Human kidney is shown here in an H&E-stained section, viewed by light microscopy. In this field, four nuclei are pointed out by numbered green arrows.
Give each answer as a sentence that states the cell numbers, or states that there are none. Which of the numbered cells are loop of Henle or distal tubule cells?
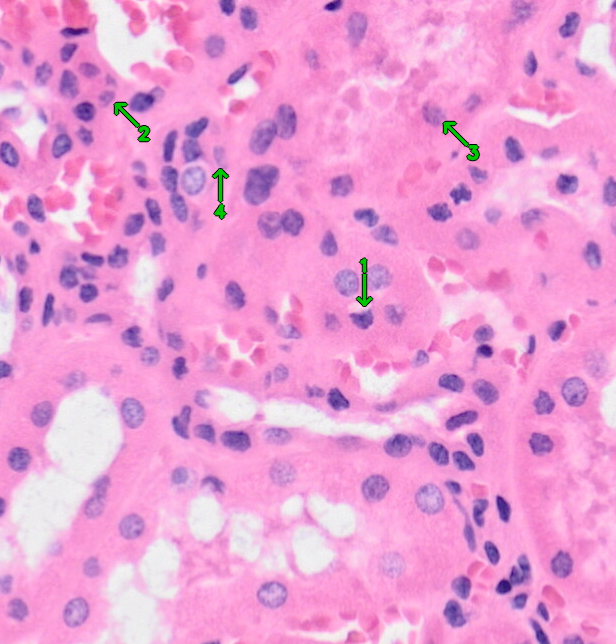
Among the numbered cells, cell 1 alone is a loop of Henle or distal tubule cell.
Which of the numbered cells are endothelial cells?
The numbered cells include no endothelial cells at all.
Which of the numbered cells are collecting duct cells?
In this section, the cells labelled 2 and 4 are collecting duct cells.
